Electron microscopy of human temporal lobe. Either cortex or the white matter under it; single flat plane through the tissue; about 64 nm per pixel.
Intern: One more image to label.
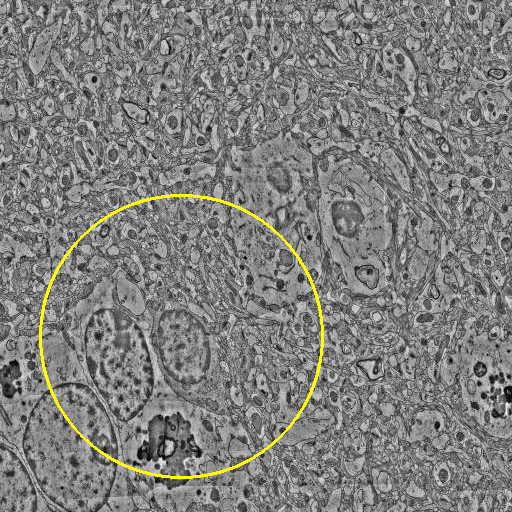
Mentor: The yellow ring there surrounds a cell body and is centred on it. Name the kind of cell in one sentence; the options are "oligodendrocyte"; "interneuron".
The ring marks the cell body of an oligodendrocyte.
